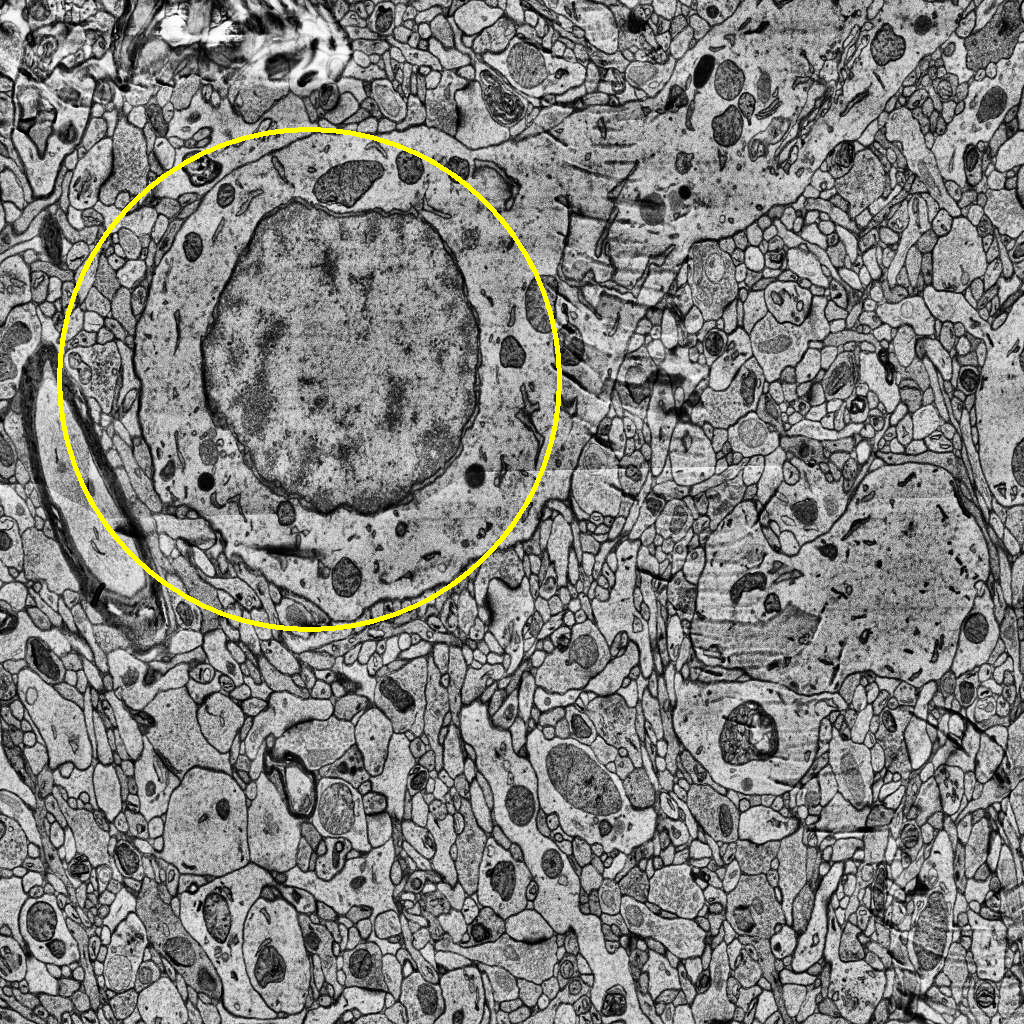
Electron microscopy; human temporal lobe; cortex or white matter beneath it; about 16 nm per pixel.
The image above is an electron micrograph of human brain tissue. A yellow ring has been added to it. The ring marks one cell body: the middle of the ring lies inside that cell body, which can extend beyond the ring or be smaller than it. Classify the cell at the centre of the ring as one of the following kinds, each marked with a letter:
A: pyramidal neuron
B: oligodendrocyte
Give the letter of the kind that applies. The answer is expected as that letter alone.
A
